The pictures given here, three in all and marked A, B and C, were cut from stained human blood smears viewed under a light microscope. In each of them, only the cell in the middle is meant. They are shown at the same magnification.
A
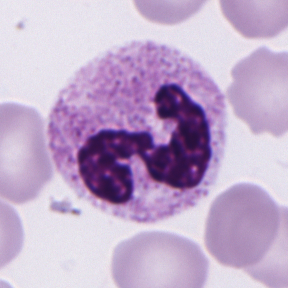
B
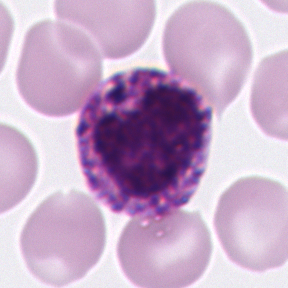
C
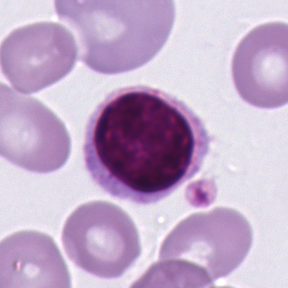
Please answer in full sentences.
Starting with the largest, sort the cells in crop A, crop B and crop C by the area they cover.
From the largest down, the order is A, B, C.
